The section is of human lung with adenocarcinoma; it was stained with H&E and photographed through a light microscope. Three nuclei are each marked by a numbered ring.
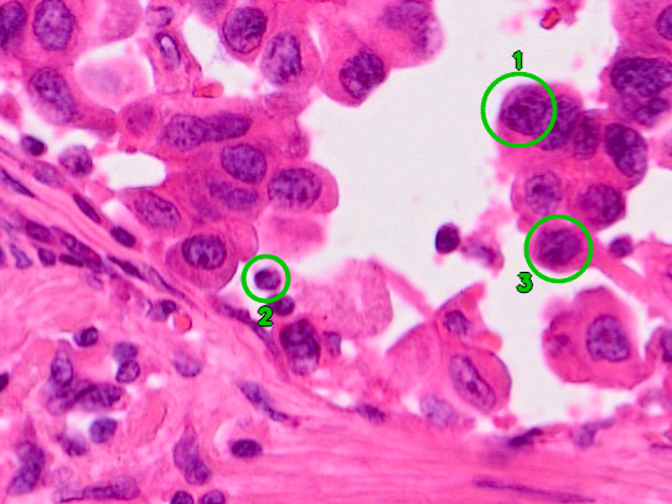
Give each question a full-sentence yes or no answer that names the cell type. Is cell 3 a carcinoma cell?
Yes, a carcinoma cell is what the cell numbered 3 is.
